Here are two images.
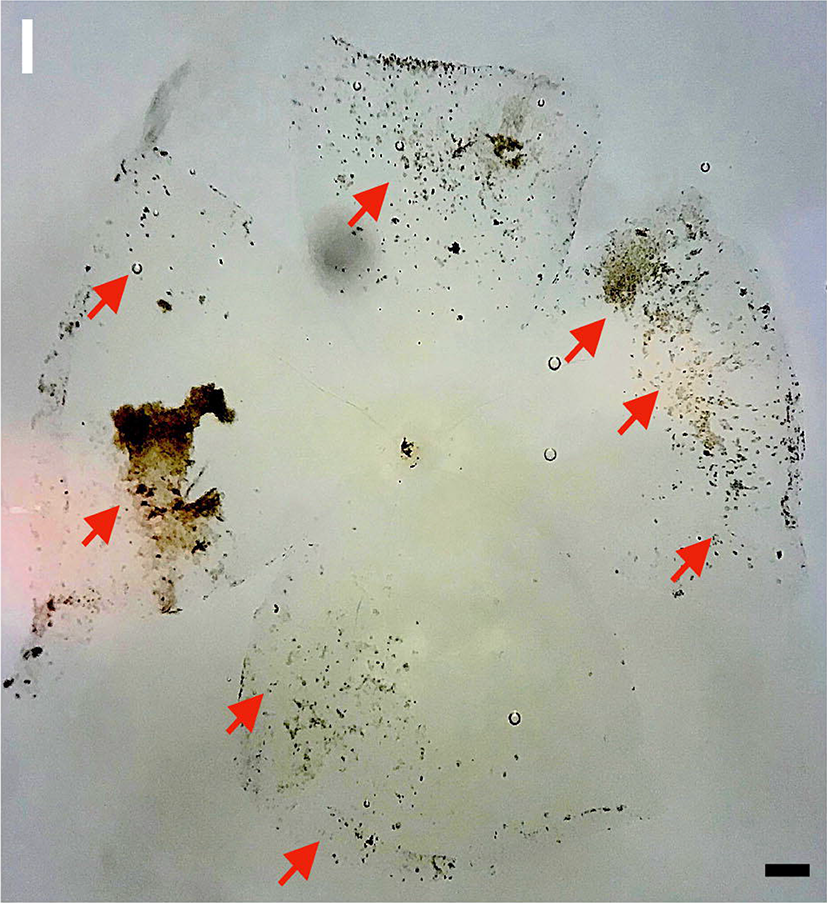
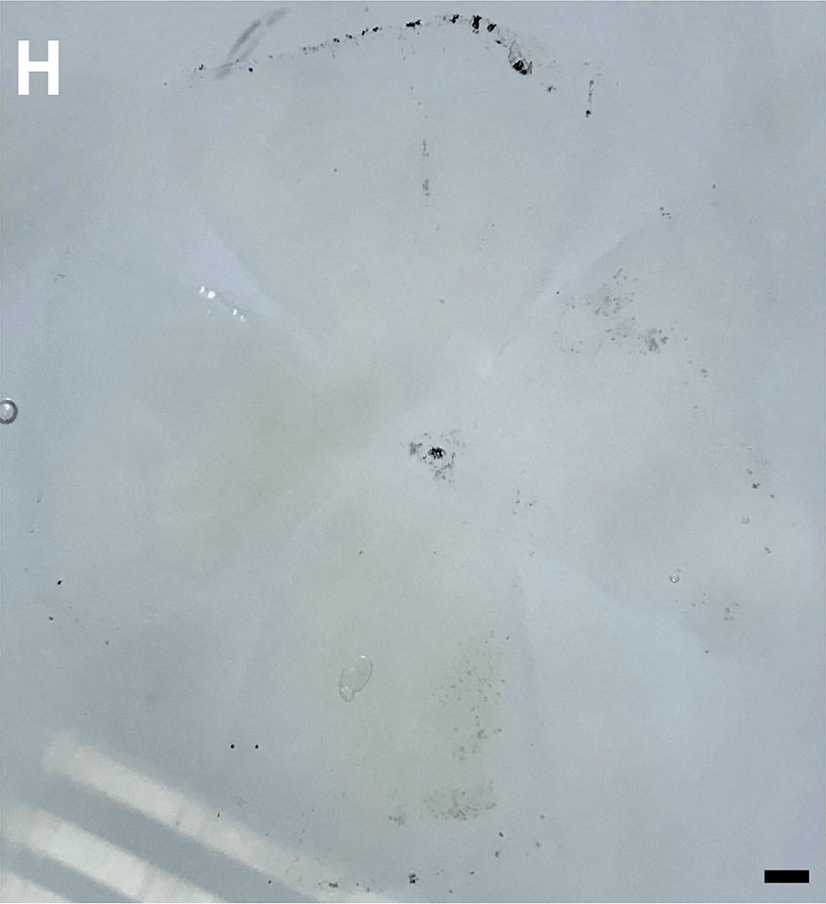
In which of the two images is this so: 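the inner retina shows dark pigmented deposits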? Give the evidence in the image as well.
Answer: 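The first image. First image: several brown to black patches and many dark specks across the tissue. Second image: the tissue is pale and nearly uniform, with only a few small dark specks.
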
